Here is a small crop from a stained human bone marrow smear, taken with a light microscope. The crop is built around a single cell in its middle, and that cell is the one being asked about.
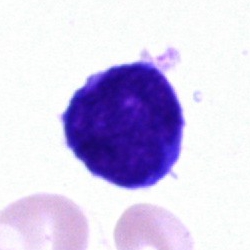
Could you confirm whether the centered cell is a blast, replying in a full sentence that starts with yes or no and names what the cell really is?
Yes, the cell sitting in the middle of this smear crop is a blast.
